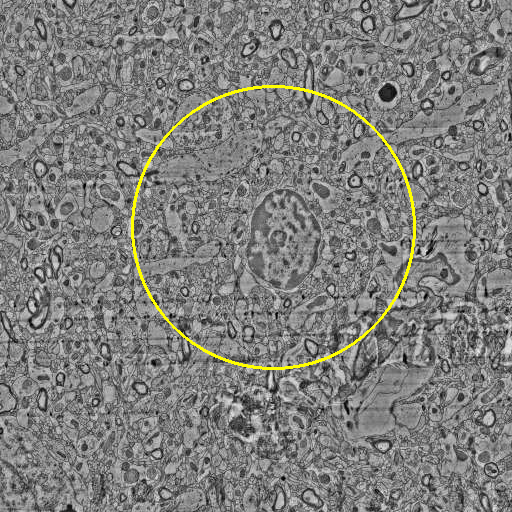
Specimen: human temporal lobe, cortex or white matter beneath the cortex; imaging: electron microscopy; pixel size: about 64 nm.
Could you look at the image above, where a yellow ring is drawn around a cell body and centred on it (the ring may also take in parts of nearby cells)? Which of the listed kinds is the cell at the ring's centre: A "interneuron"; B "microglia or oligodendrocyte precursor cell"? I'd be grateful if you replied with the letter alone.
B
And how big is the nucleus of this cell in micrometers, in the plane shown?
About 6 by 5 micrometers for the nucleus, in this plane.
